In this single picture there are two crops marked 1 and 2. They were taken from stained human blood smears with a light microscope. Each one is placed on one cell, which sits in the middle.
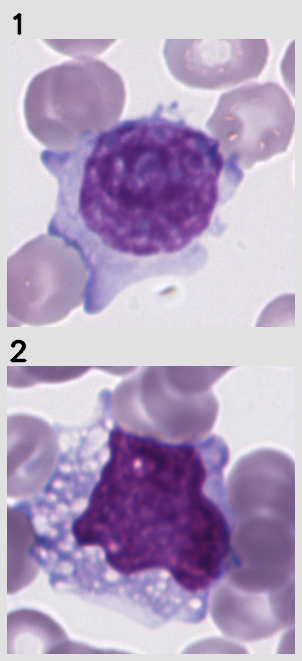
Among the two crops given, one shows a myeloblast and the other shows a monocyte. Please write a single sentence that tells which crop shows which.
Crop 1 is a myeloblast, whilst crop 2 is a monocyte.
